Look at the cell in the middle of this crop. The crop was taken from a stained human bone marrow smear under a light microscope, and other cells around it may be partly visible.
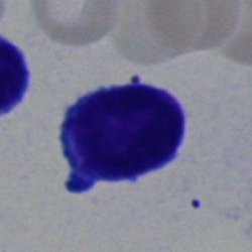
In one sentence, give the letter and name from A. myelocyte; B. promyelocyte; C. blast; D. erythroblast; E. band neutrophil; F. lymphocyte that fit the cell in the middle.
Option F is the correct one; it names the central cell as a lymphocyte.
